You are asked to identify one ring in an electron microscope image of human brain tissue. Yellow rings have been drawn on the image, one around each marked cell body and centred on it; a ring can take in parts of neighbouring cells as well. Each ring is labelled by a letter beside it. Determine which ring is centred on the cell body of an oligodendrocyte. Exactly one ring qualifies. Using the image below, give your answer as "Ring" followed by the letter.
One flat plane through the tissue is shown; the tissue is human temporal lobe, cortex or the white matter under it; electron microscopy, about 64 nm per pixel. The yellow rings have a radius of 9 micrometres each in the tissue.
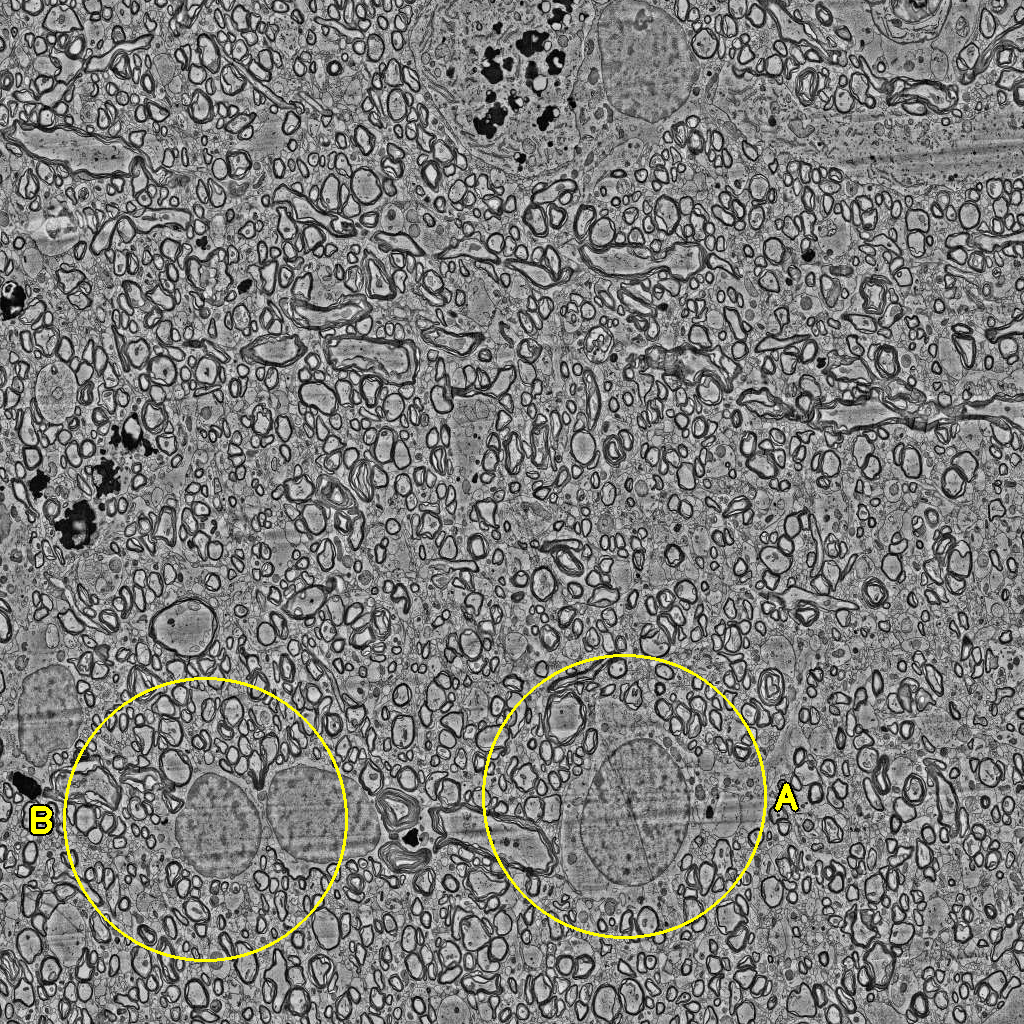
Ring B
